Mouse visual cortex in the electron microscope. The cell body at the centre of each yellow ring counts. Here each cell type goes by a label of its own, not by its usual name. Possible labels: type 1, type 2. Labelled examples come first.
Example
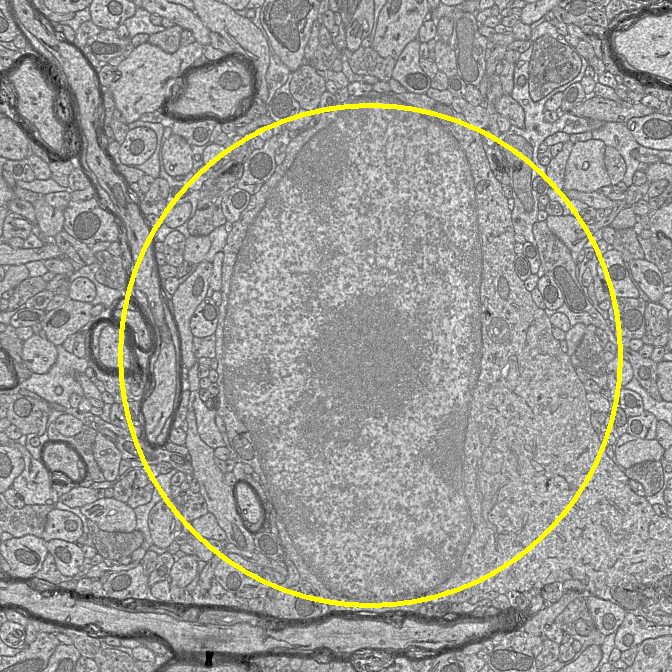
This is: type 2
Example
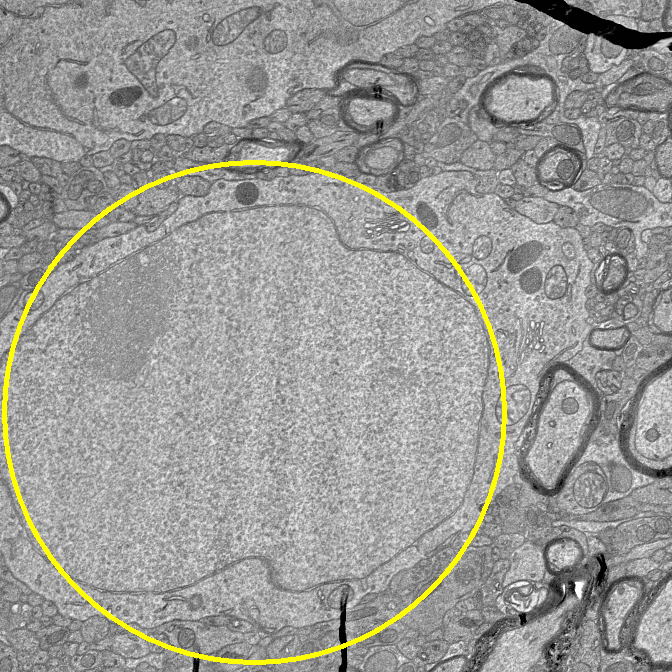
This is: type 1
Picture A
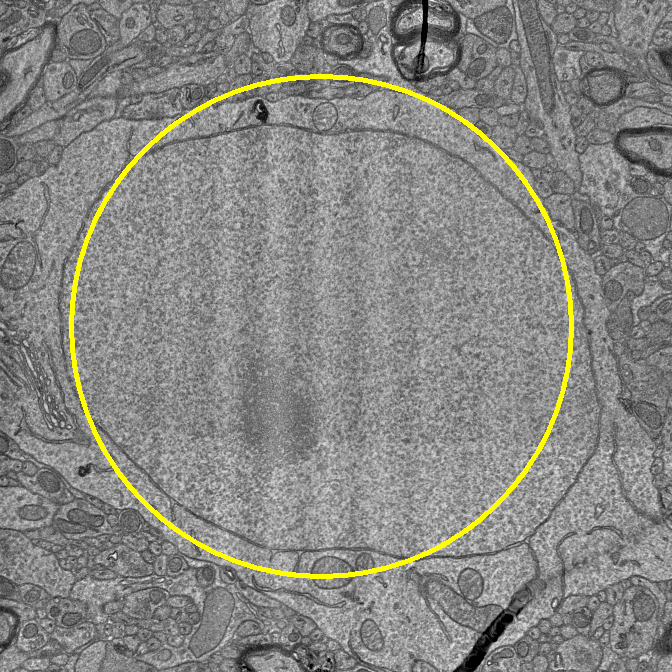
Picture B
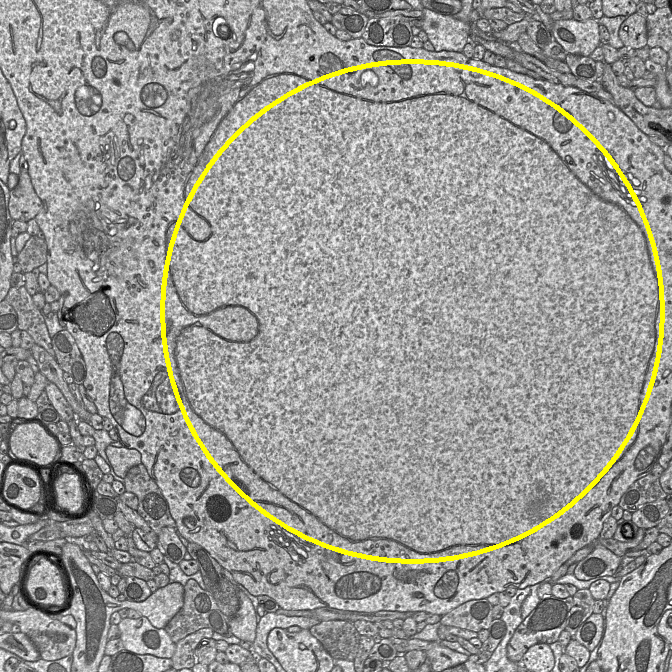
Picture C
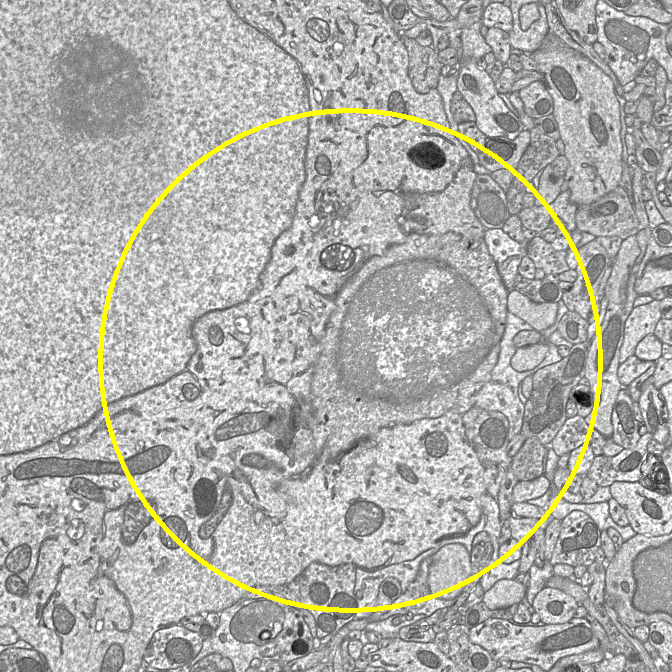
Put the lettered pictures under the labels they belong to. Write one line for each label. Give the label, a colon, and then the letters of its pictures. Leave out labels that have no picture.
type 1: A, B
type 2: C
